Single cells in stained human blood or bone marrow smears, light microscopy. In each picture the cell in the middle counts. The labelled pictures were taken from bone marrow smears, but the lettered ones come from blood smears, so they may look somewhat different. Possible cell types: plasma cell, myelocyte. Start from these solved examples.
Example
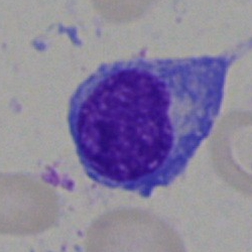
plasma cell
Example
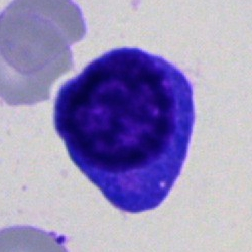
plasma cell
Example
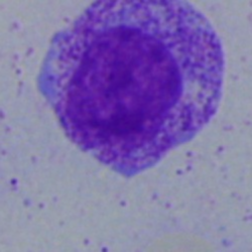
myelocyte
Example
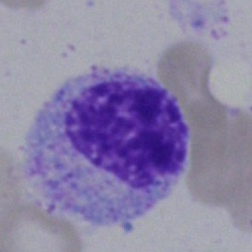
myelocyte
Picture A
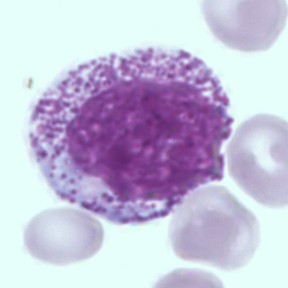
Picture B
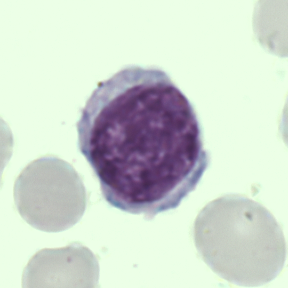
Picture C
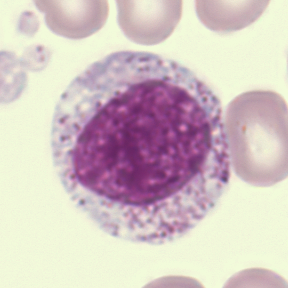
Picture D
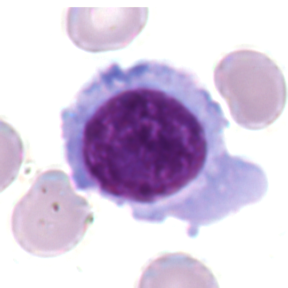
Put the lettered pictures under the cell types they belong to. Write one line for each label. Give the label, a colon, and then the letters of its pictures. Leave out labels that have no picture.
plasma cell: B, D
myelocyte: A, C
